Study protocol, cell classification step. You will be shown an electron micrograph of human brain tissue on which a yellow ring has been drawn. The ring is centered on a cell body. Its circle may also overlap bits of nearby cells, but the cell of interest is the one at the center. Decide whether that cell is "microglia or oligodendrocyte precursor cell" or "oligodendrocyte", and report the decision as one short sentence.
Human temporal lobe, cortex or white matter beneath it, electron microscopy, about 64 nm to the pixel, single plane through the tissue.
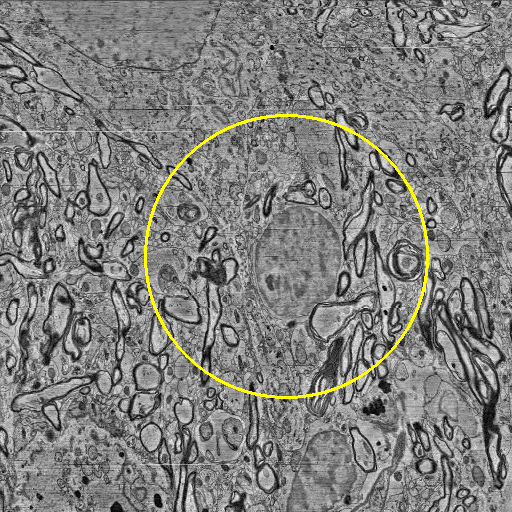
The marked cell is an oligodendrocyte.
